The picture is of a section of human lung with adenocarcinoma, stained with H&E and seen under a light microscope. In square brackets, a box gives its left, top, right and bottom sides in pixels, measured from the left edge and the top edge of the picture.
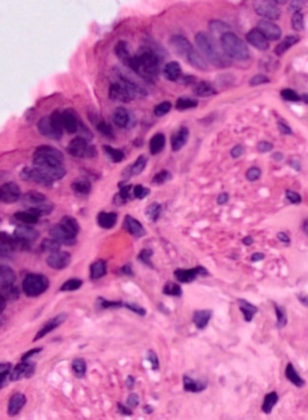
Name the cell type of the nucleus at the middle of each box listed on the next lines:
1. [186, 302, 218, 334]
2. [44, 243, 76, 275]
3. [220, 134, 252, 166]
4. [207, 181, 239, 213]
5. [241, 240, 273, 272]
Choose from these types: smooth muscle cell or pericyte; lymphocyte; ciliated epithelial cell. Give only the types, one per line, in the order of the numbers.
lymphocyte
ciliated epithelial cell
smooth muscle cell or pericyte
smooth muscle cell or pericyte
smooth muscle cell or pericyte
